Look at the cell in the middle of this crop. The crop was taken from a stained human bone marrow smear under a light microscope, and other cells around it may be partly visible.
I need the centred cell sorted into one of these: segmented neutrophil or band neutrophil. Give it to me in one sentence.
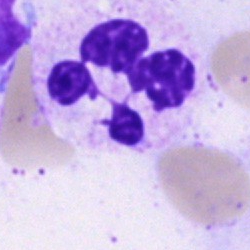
Answering briefly, the cell in the middle is a segmented neutrophil.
